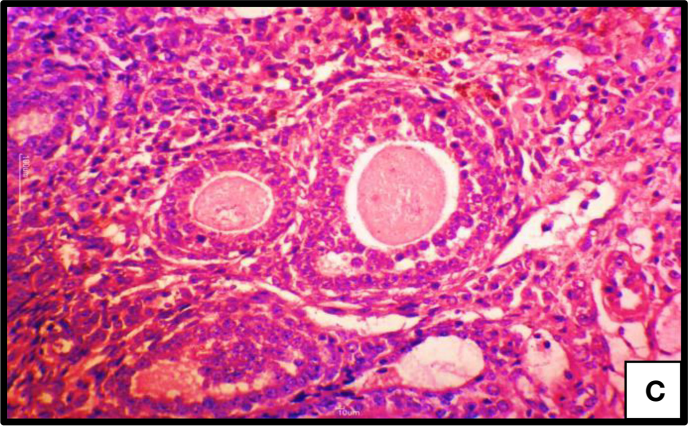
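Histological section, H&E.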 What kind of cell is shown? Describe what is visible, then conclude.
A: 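A clear rim separates it from the surrounding layers of small cuboidal cells. The answer: ovum.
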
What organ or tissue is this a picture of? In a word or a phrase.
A: Ovary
